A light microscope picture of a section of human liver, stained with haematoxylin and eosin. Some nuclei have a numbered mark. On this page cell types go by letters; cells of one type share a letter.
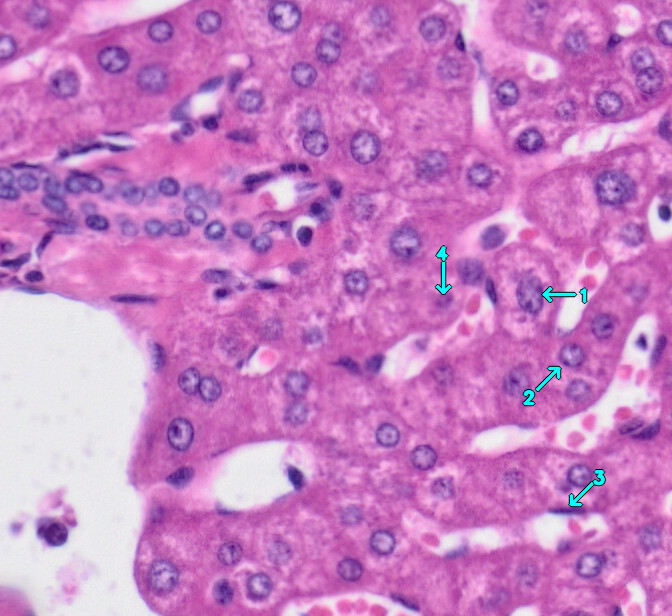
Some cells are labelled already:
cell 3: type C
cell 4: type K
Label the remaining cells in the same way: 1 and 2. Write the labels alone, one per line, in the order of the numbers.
type K
type K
